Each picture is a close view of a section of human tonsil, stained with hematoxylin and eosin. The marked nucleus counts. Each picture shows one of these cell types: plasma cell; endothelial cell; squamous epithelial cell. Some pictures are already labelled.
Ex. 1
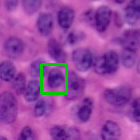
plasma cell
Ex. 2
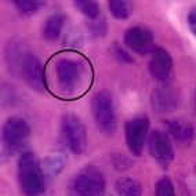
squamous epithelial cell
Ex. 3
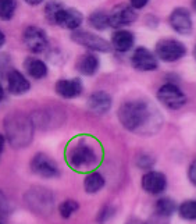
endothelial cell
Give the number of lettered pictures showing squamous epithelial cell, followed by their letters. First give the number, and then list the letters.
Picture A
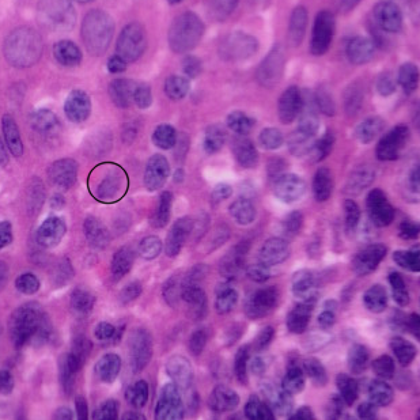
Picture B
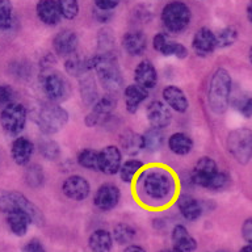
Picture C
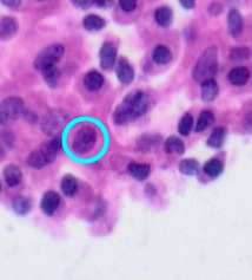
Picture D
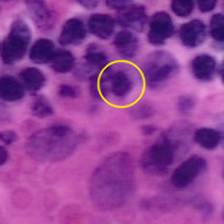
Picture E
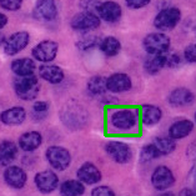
Count: 2 (A, C)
